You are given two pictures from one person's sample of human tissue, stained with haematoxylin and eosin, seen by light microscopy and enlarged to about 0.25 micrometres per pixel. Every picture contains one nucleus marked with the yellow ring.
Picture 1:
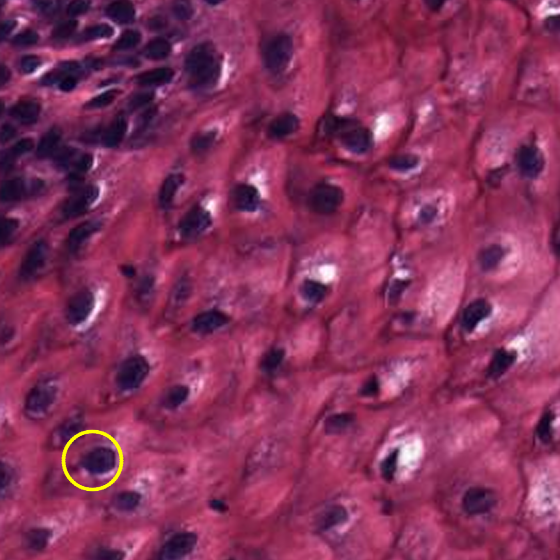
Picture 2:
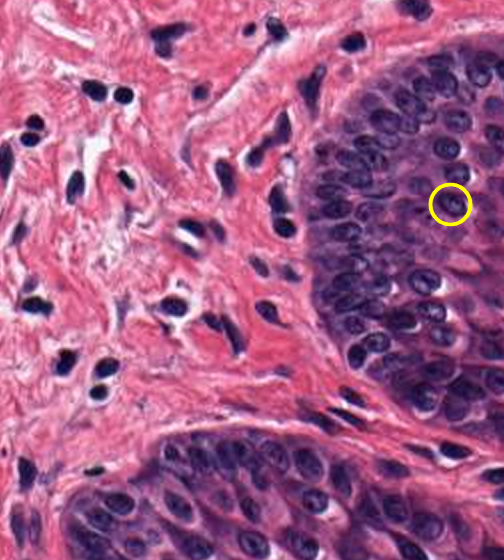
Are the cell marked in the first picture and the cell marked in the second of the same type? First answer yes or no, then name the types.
Yes, both are squamous epithelial cells.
